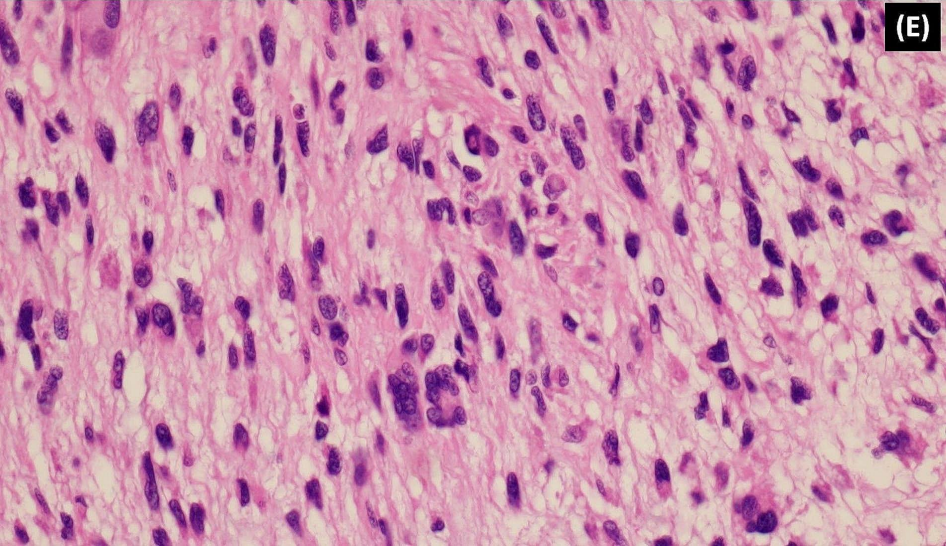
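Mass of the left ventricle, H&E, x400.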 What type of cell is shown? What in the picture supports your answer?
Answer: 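Nuclei range from small oval to large irregular forms. Some nuclei are elongated and spindle-like while others are rounded or lobulated. Pink cytoplasm and stroma surround the nuclei. So: Pleomorphic cells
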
